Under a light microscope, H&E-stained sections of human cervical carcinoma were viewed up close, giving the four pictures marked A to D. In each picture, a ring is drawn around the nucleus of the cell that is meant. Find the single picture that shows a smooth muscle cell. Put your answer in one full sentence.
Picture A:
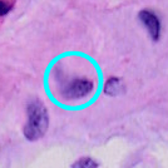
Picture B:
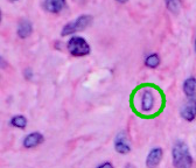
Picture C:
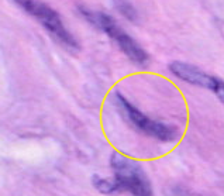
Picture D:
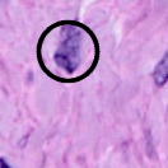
Picture B shows the smooth muscle cell.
